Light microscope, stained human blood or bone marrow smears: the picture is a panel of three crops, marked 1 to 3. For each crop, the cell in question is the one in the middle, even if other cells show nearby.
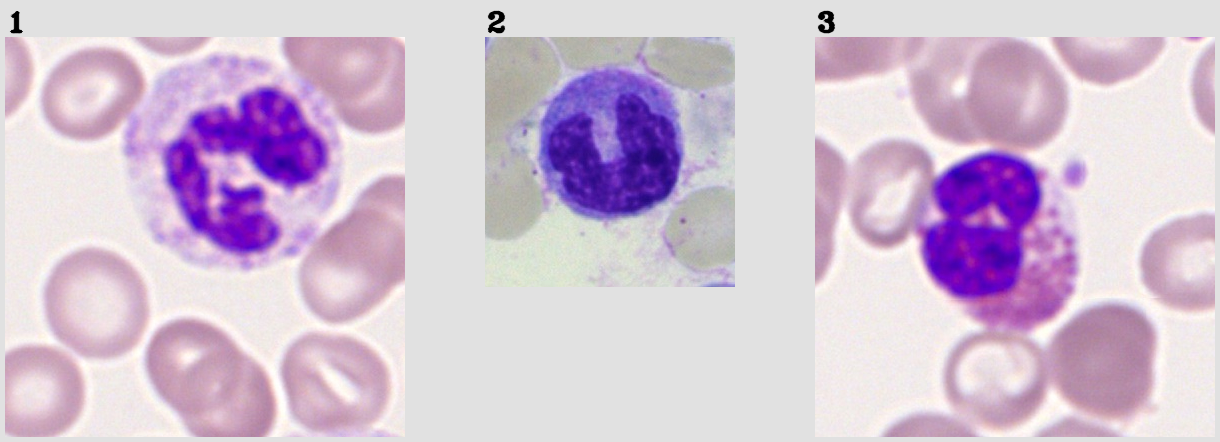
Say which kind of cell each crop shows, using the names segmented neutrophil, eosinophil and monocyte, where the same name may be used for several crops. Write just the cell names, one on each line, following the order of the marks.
segmented neutrophil
monocyte
eosinophil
